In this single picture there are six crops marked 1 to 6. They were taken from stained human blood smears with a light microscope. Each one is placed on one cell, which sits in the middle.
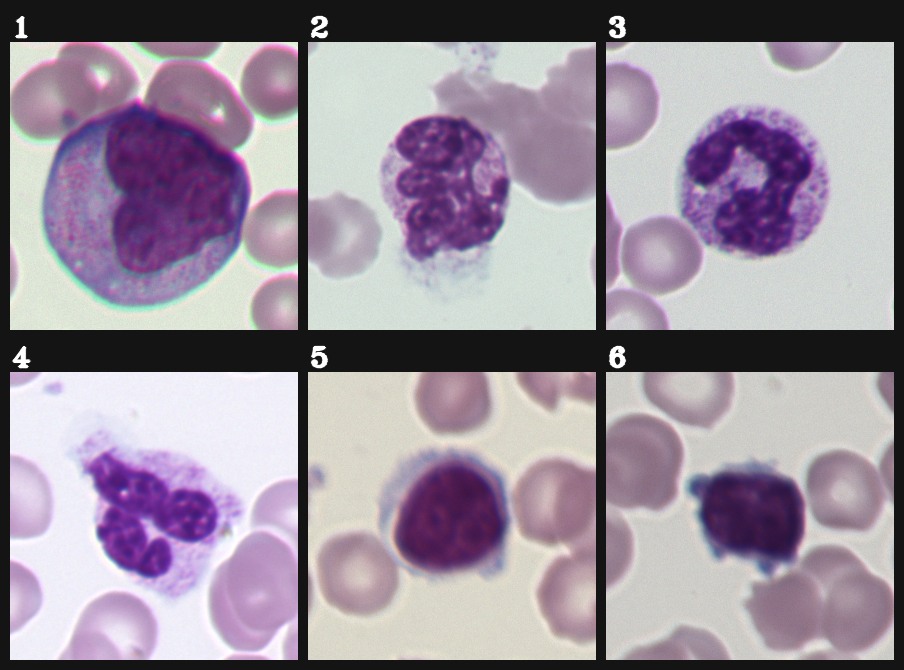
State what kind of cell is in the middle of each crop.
1: atypical promyelocyte
2: neutrophil
3: neutrophil
4: neutrophil
5: lymphocyte
6: lymphocyte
